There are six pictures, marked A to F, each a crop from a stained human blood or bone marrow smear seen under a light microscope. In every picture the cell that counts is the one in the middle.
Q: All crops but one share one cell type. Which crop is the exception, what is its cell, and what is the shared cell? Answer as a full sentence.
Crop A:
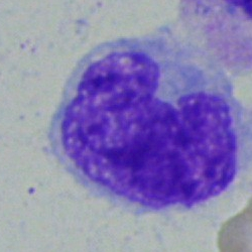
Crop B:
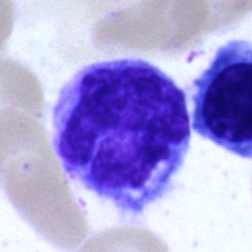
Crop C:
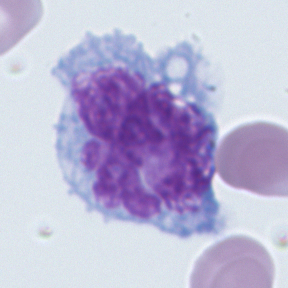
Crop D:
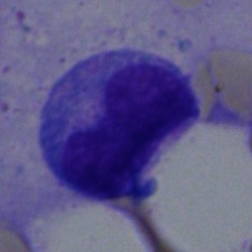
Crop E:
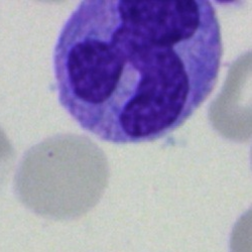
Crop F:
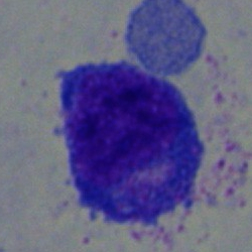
The crop that differs is F, which is a promyelocyte; the rest are monocytes.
